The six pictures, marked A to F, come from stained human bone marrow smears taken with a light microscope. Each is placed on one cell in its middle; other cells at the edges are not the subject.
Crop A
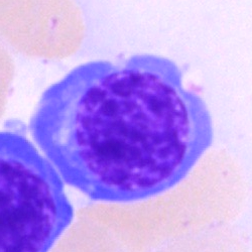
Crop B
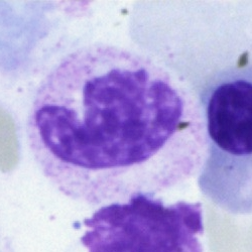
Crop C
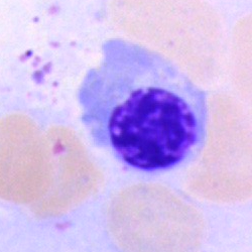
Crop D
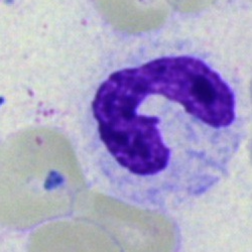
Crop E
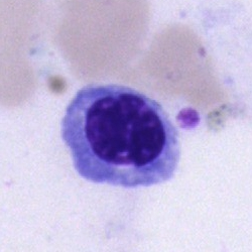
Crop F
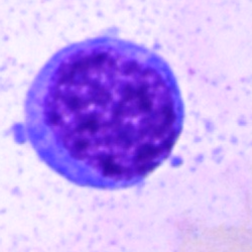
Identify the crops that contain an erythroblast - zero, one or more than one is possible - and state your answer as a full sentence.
The middle cells of crops A, C and E are erythroblasts.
